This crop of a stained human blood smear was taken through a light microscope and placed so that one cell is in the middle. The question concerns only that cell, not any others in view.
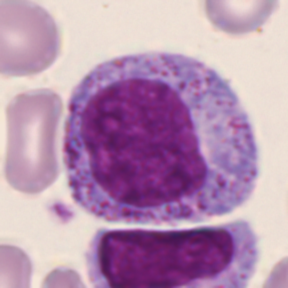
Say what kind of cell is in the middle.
promyelocyte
